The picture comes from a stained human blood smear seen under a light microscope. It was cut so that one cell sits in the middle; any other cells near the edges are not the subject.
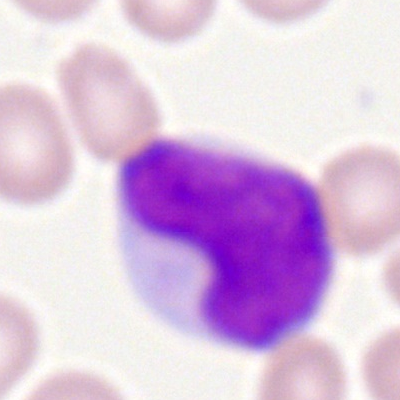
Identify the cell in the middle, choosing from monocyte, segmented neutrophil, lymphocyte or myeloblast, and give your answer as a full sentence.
The identification for the central cell is a myeloblast.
